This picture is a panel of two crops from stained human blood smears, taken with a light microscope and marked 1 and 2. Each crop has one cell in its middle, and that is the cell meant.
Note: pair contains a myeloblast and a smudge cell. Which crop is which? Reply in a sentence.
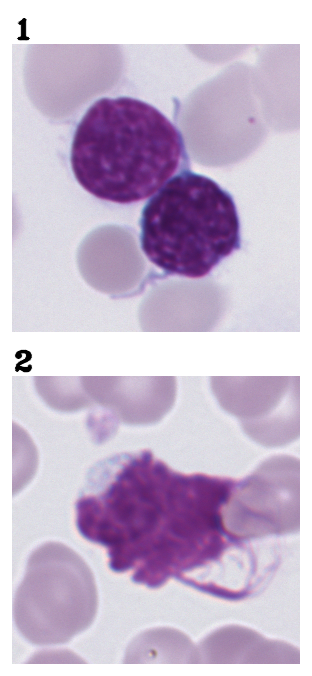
Respectively, crops 1 and 2 show a myeloblast and a smudge cell.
